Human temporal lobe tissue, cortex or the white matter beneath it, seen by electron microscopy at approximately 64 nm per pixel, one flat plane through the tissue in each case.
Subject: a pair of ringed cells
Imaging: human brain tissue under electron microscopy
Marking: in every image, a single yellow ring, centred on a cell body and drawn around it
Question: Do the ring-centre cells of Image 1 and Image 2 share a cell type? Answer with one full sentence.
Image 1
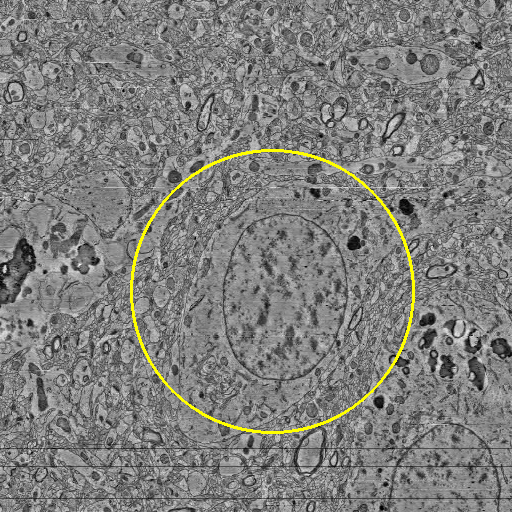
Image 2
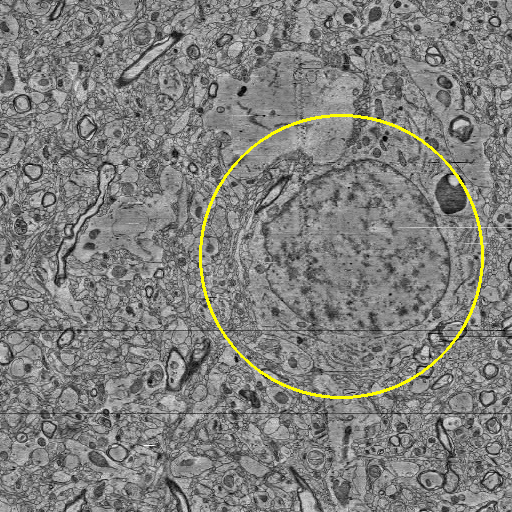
No, at the ring centres in the images sit cells of two separate types.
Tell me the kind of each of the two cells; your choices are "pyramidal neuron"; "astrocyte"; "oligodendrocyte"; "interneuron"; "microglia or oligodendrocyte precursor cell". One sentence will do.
The ringed cell is a pyramidal neuron in the first picture and an interneuron in the second picture.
